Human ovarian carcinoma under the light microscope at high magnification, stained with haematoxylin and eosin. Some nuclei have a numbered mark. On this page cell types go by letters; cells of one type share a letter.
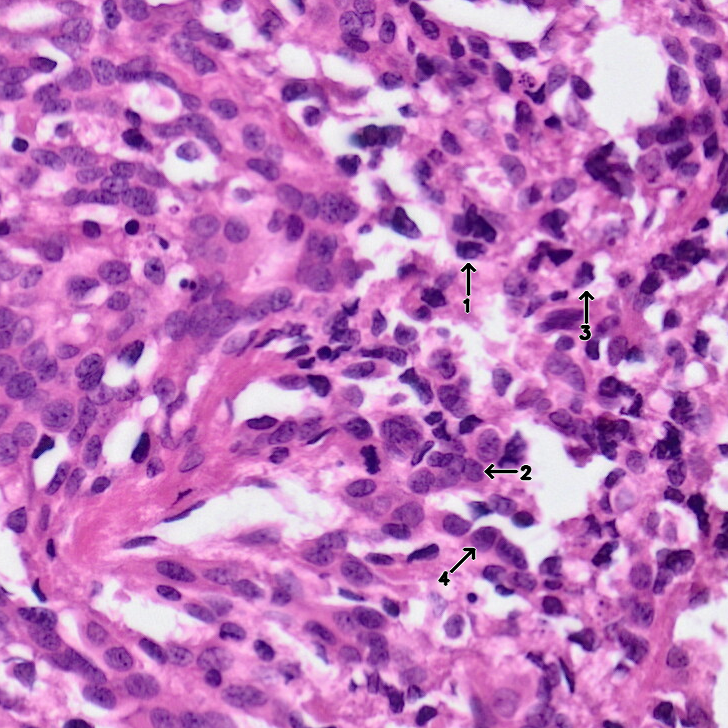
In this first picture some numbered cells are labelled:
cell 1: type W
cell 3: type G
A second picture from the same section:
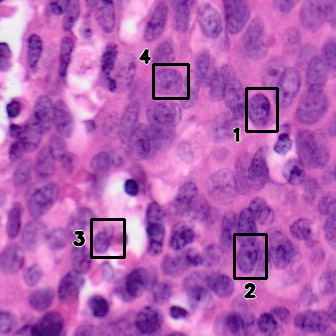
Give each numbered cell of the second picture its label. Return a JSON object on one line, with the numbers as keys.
{"1": "type W", "2": "type W", "3": "type G", "4": "type W"}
